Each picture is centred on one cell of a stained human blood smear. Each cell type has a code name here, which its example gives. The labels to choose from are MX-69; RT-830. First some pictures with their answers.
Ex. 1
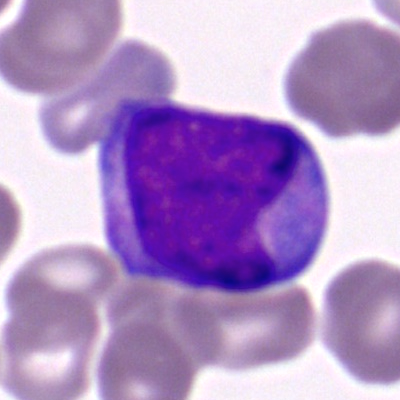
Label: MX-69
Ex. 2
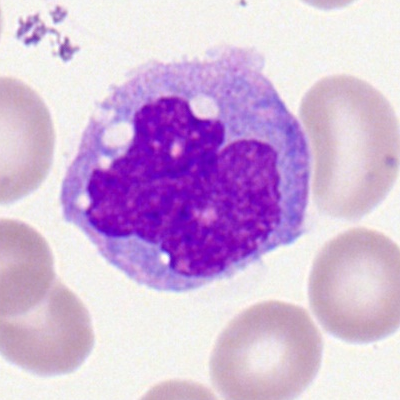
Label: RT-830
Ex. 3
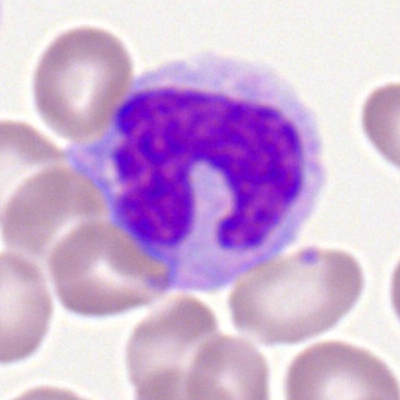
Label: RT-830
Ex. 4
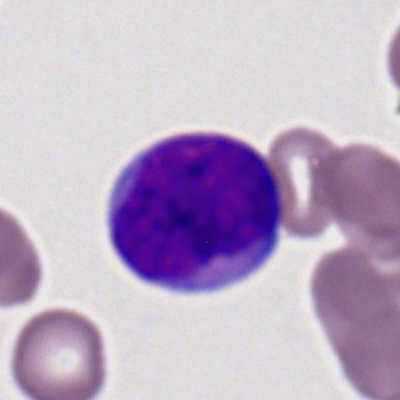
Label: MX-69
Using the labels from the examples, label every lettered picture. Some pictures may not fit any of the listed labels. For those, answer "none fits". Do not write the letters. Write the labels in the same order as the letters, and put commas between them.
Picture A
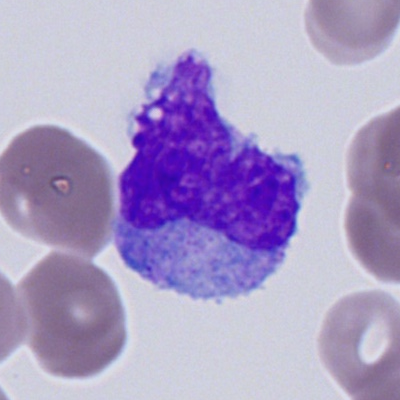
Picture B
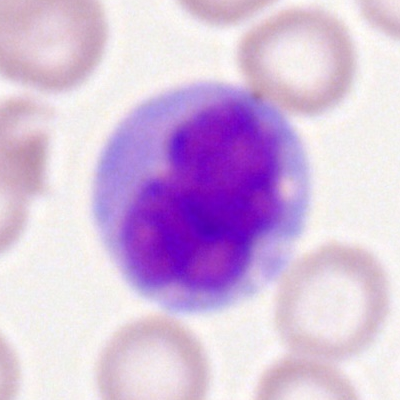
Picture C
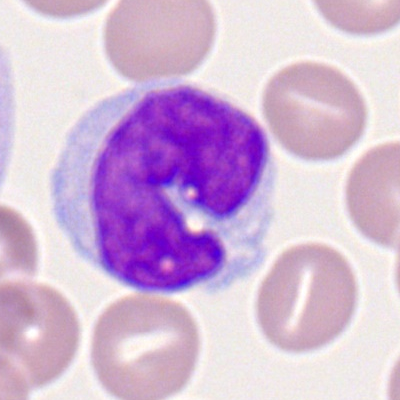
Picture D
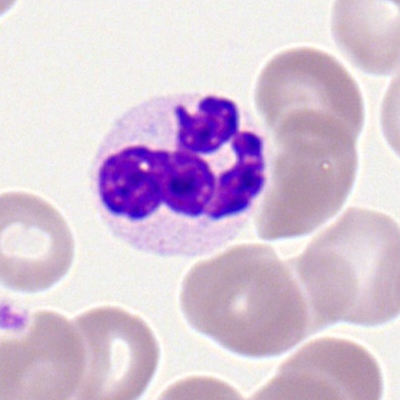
RT-830, RT-830, RT-830, none fits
